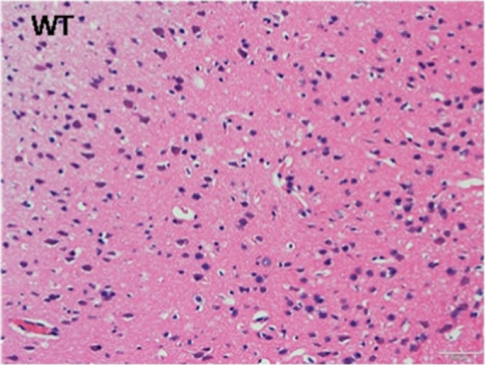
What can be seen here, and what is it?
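Section of cerebral cortex with numerous cell bodies scattered through a pale pink, finely fibrillar neuropil. The cells have darkly purple-stained, irregular to angular bodies and nuclei, and small blood vessels appear as thin-walled clefts and round lumens among them.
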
